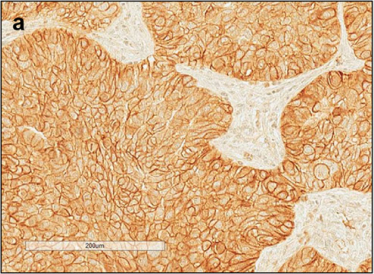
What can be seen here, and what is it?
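Nests and sheets of tightly packed tumor cells fill most of the field, separated by pale, sparsely cellular strands of stroma. The tumor cells are polygonal, and strong brown staining outlines their cell borders, giving a honeycomb-like pattern, with fainter brown in the cytoplasm. Nuclei appear as paler round to oval areas within the cells. The intervening stroma is largely unstained.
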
